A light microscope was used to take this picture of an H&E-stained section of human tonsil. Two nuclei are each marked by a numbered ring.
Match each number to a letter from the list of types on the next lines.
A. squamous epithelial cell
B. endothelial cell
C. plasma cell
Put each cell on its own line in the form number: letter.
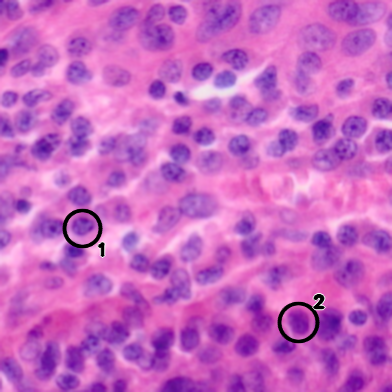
1: C
2: A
